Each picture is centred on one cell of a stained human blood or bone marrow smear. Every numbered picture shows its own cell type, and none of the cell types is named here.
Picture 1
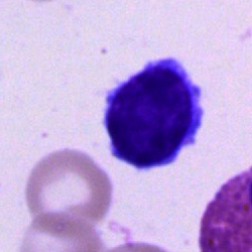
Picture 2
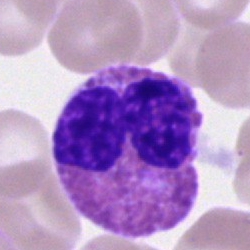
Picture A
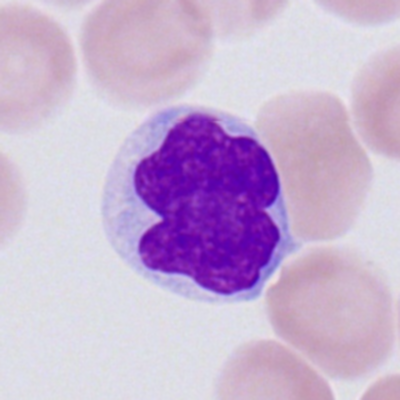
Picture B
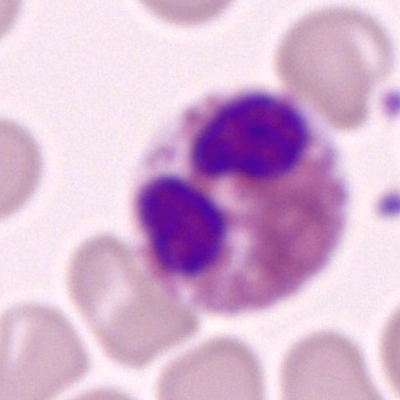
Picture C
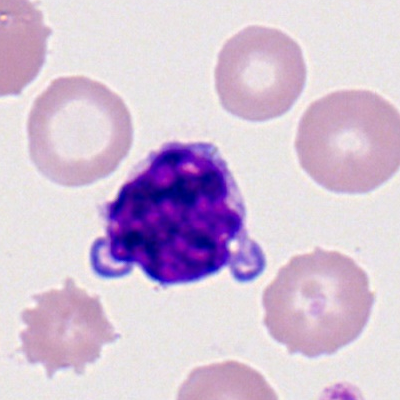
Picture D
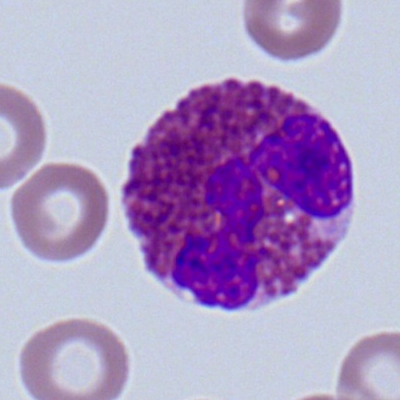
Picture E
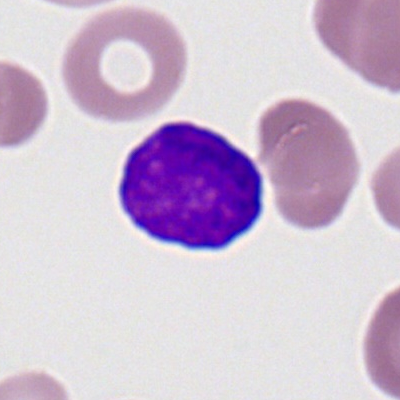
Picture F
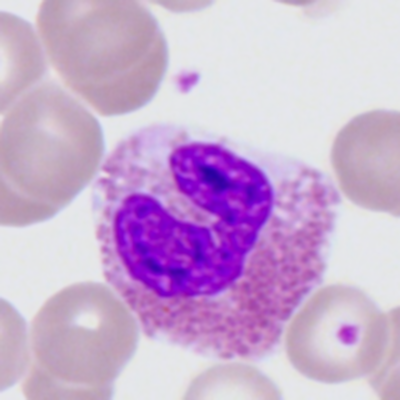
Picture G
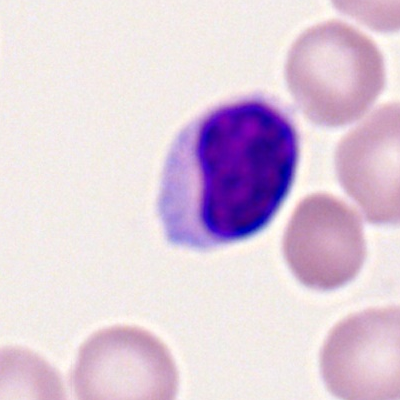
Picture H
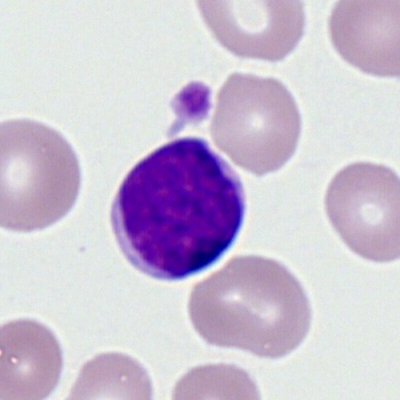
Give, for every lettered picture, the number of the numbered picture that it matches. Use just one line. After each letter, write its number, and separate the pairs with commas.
A 1, B 2, C 1, D 2, E 1, F 2, G 1, H 1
